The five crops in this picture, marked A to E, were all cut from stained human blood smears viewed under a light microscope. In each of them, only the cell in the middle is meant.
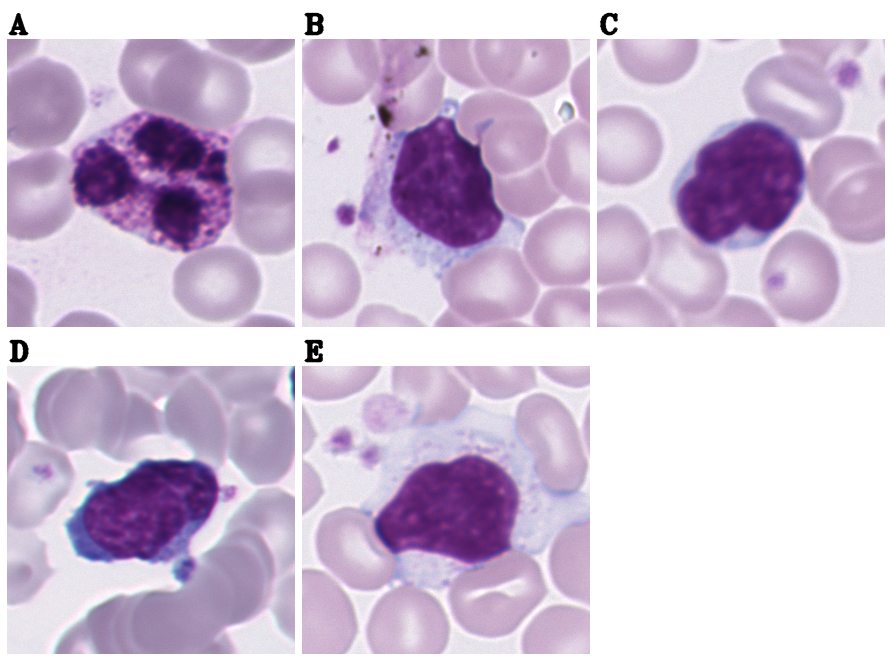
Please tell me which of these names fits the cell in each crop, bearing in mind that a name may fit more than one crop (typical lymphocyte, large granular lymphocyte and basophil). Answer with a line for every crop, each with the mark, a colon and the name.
A: basophil
B: typical lymphocyte
C: typical lymphocyte
D: typical lymphocyte
E: large granular lymphocyte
